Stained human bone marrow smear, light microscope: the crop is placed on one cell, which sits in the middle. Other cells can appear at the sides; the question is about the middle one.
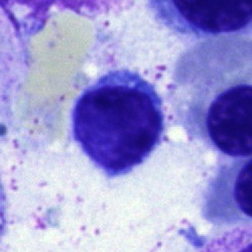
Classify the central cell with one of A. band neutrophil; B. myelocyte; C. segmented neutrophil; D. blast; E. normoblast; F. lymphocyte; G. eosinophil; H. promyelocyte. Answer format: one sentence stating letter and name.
Option F is accurate; the centrally placed cell is a lymphocyte.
